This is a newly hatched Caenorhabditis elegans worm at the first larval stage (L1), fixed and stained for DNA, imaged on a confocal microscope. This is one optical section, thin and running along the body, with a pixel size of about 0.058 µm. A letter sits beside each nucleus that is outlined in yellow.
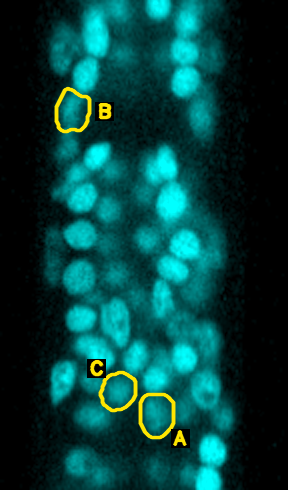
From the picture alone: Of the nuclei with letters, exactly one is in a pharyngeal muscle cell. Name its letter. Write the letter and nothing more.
A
